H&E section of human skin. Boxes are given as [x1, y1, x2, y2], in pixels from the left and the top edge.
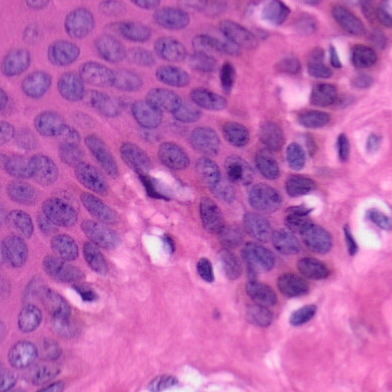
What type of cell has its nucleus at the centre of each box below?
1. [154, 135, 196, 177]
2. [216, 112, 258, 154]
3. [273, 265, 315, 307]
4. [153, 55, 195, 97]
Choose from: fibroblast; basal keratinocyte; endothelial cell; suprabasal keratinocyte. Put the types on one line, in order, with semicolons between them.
basal keratinocyte; basal keratinocyte; basal keratinocyte; suprabasal keratinocyte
